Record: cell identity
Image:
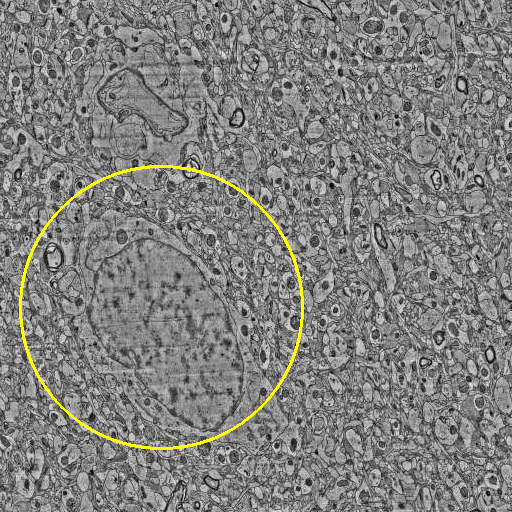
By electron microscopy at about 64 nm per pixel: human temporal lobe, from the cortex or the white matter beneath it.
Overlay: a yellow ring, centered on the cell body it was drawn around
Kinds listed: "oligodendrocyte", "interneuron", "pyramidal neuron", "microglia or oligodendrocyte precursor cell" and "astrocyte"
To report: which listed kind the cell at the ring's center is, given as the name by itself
interneuron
